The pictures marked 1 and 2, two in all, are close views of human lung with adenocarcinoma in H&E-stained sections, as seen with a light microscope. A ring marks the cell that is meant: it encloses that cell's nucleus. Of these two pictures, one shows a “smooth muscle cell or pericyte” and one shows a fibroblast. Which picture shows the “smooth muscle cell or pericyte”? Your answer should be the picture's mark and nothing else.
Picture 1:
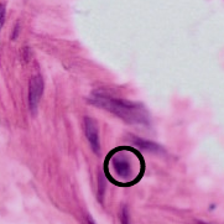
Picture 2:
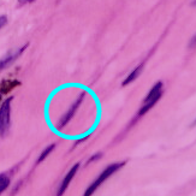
1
